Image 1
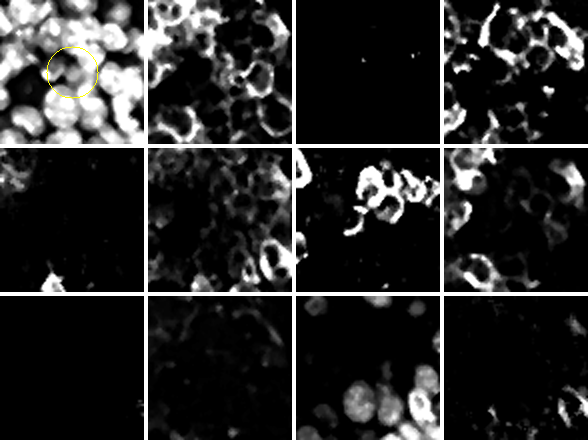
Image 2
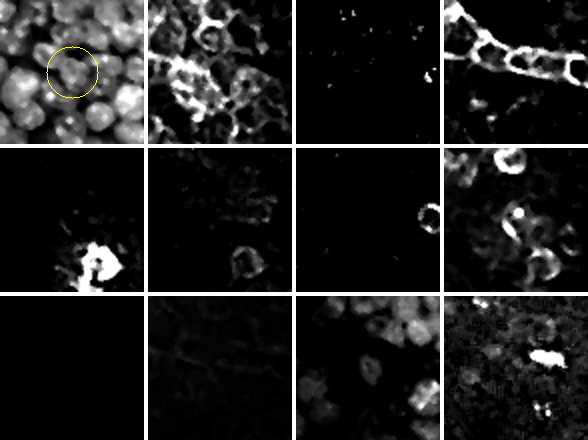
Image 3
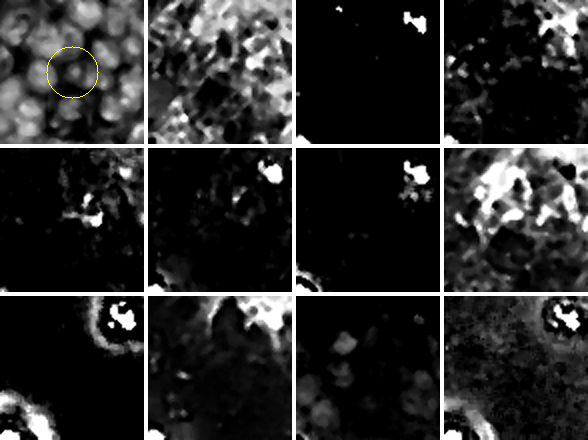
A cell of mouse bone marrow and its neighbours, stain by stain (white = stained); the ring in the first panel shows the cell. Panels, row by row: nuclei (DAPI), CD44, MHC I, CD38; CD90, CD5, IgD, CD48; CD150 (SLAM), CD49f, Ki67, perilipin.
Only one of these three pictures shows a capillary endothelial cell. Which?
Picture 2.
